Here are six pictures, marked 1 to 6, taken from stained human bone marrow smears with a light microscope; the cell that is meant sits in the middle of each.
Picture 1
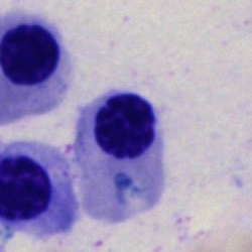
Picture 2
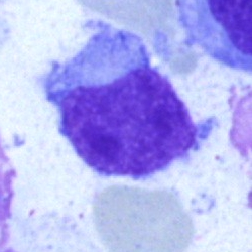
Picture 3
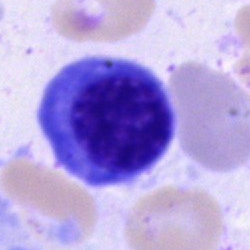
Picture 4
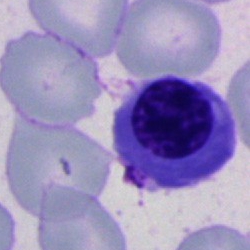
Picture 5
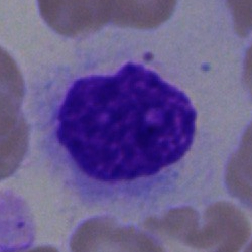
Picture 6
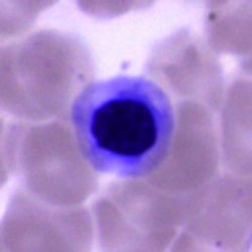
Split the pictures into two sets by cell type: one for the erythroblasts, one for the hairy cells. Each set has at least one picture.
1: erythroblast
2: hairy cell
3: erythroblast
4: erythroblast
5: hairy cell
6: erythroblast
